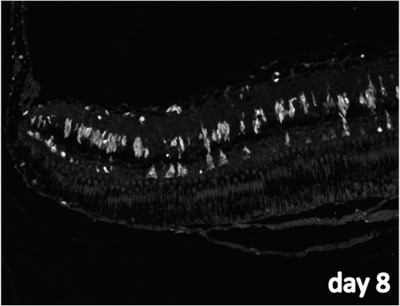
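Numerous bright white nuclei, many elongated and gathered in radially oriented clusters, lie within the inner nuclear layer across the whole length of the section. Labelled nuclei are also present near the peripheral margin of the retina. Below them the outer nuclear layer and the regularly striated photoreceptor segments appear mostly dark. The remaining tissue shows only faint background, outlining the layered architecture.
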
